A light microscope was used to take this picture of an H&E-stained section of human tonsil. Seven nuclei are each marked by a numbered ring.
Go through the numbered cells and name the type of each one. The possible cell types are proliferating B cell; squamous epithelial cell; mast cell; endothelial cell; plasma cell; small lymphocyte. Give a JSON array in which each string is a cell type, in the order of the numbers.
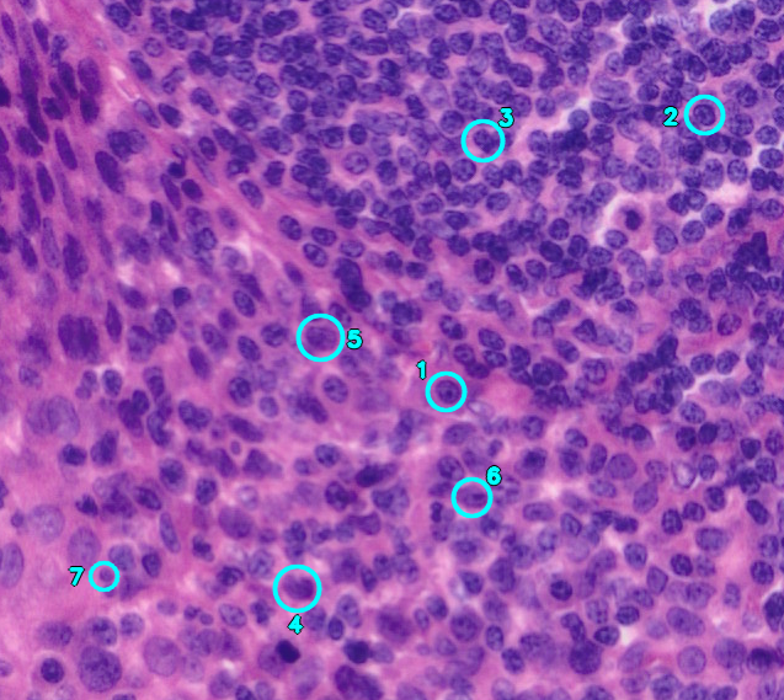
["plasma cell", "small lymphocyte", "small lymphocyte", "squamous epithelial cell", "squamous epithelial cell", "squamous epithelial cell", "squamous epithelial cell"]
